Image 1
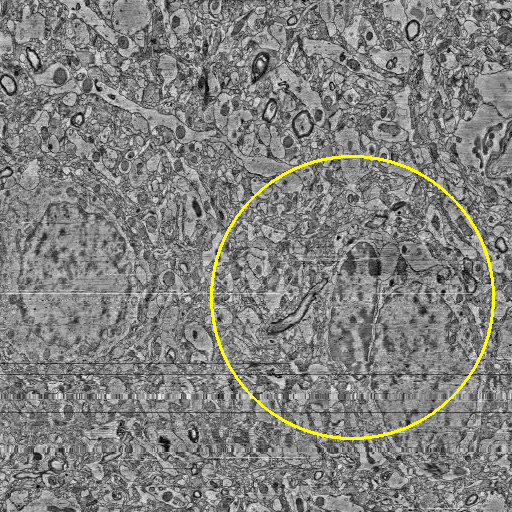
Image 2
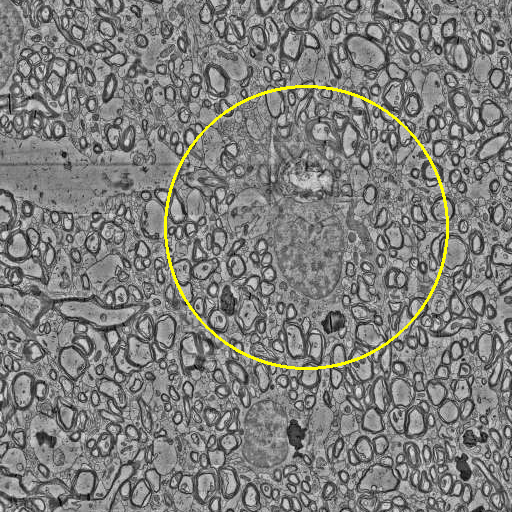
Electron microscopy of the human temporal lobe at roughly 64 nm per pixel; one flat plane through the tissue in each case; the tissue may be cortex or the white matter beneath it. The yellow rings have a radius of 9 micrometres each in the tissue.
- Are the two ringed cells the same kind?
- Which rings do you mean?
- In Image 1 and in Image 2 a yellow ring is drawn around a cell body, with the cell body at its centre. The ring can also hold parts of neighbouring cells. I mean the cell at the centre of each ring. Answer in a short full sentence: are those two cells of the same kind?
No, the cells are of two kinds.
